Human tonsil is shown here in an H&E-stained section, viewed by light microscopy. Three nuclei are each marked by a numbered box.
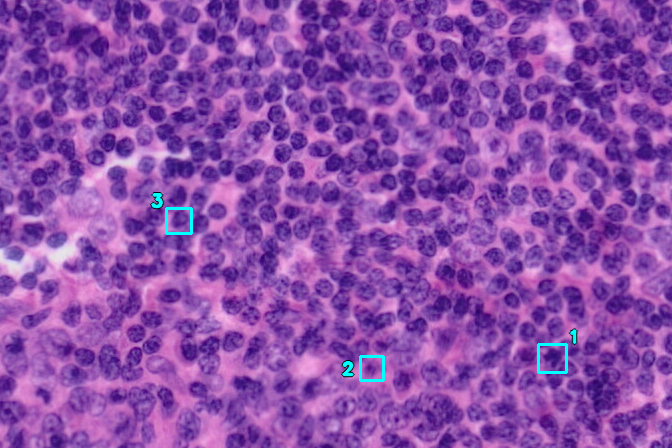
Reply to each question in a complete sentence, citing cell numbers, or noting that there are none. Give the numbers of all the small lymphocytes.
In terms of cell type, cells 1 and 3 are small lymphocytes.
